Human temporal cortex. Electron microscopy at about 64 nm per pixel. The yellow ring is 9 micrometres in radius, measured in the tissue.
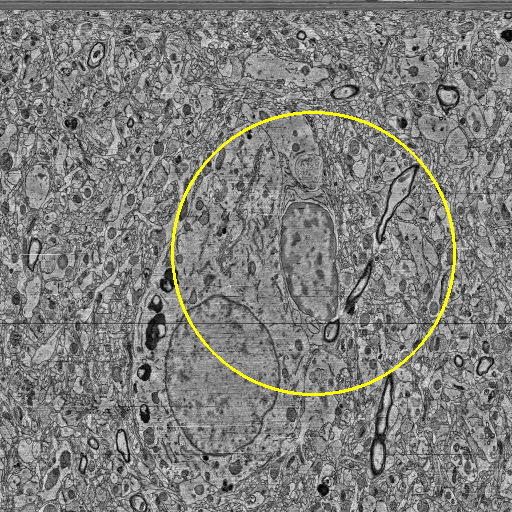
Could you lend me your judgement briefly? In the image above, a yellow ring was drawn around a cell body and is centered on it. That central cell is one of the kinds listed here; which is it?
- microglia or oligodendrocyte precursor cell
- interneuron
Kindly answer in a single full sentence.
Going by the list, a microglial cell or oligodendrocyte precursor cell is the kind at the ring's center in the picture.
